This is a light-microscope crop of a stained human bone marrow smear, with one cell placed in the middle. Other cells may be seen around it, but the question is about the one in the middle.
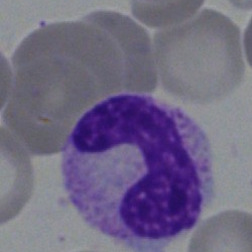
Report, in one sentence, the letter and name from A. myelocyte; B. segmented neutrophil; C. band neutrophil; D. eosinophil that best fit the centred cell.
Option C correctly states that the central cell is a band neutrophil.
